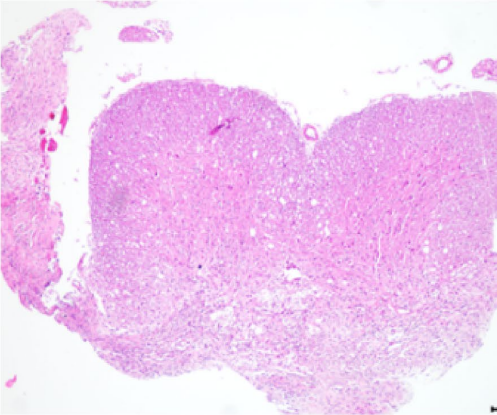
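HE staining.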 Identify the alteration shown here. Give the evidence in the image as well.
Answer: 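Vacuolar degeneration. Many small round clear spaces are scattered through the pink tissue. The lower part of the section looks loose and frayed.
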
